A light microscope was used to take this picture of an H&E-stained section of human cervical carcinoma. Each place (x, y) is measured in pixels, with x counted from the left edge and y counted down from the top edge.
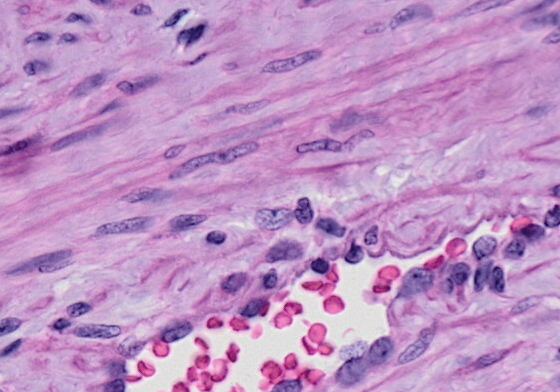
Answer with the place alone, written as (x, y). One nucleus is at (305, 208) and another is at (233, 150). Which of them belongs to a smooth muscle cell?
(233, 150)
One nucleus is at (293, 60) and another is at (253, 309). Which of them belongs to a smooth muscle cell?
(293, 60)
